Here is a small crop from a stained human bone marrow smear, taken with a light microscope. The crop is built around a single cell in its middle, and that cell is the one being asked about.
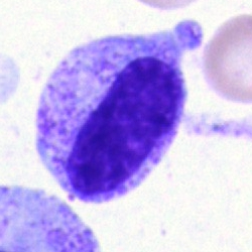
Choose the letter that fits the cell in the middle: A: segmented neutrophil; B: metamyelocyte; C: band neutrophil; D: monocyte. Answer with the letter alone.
B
